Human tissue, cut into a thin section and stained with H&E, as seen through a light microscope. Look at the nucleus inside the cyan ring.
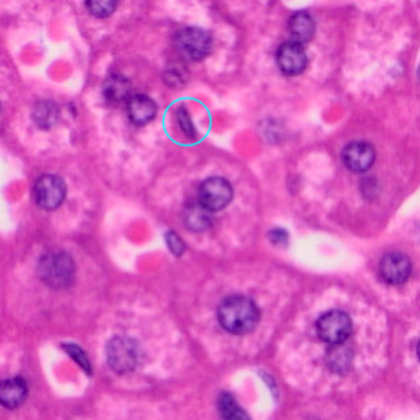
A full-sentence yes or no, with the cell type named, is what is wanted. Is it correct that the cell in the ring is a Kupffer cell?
No, the cell in the ring isn't a Kupffer cell; it is an endothelial cell.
